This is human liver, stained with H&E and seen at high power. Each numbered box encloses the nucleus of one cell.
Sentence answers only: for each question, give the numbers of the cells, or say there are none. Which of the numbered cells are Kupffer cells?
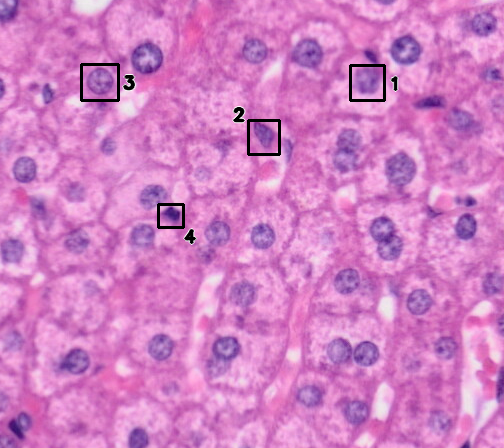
Only cell 2 qualifies as a Kupffer cell among the numbered cells.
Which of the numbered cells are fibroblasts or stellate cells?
Cell 4 is a fibroblast or stellate cell, and this holds for no other numbered cell.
